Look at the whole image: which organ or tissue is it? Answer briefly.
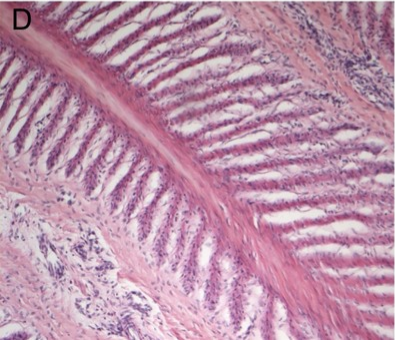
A: Stratum lamellatum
